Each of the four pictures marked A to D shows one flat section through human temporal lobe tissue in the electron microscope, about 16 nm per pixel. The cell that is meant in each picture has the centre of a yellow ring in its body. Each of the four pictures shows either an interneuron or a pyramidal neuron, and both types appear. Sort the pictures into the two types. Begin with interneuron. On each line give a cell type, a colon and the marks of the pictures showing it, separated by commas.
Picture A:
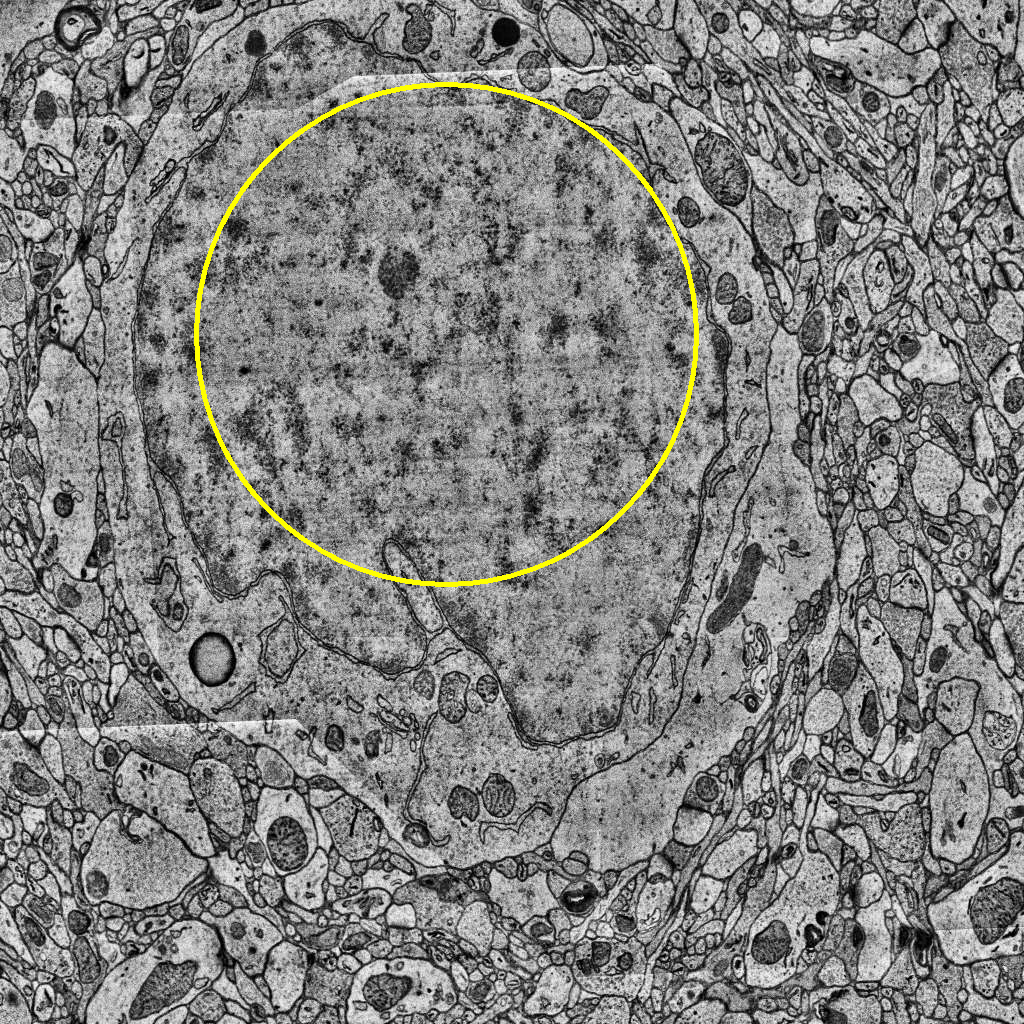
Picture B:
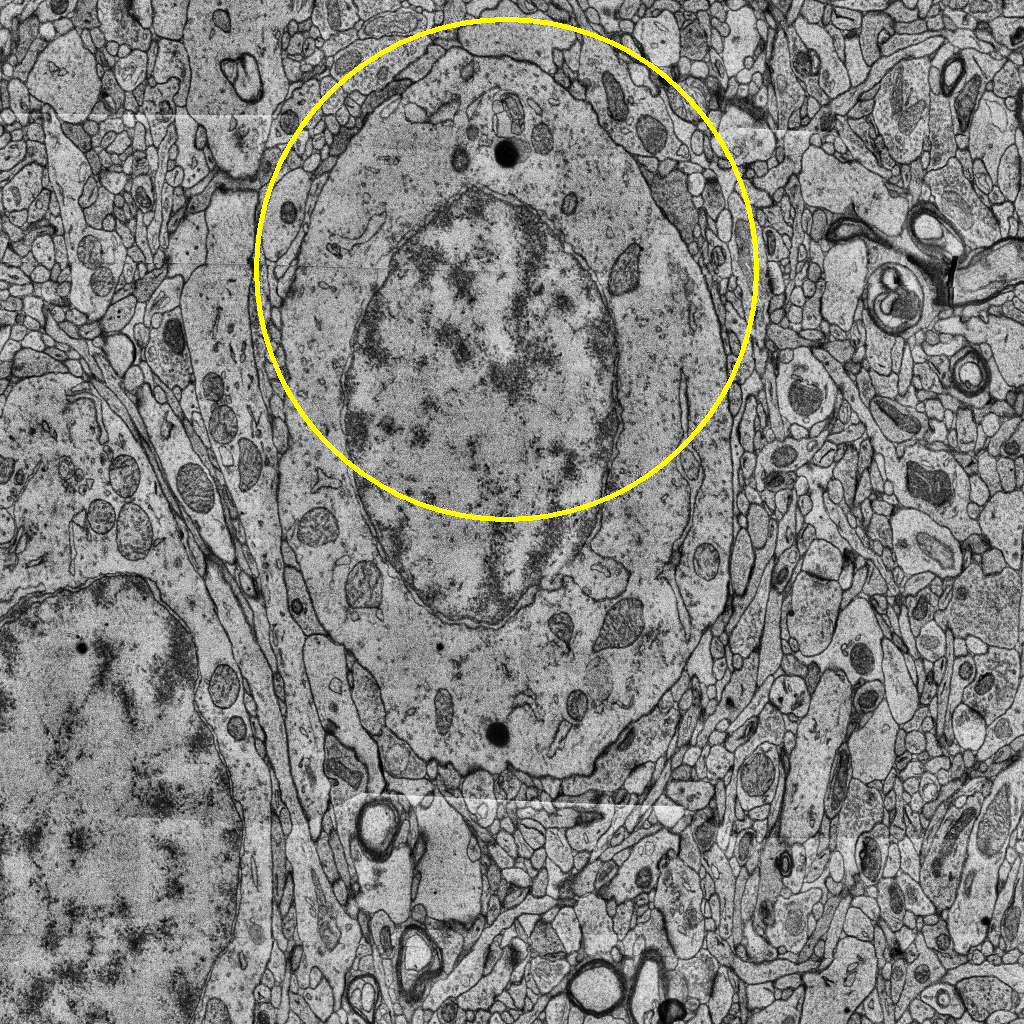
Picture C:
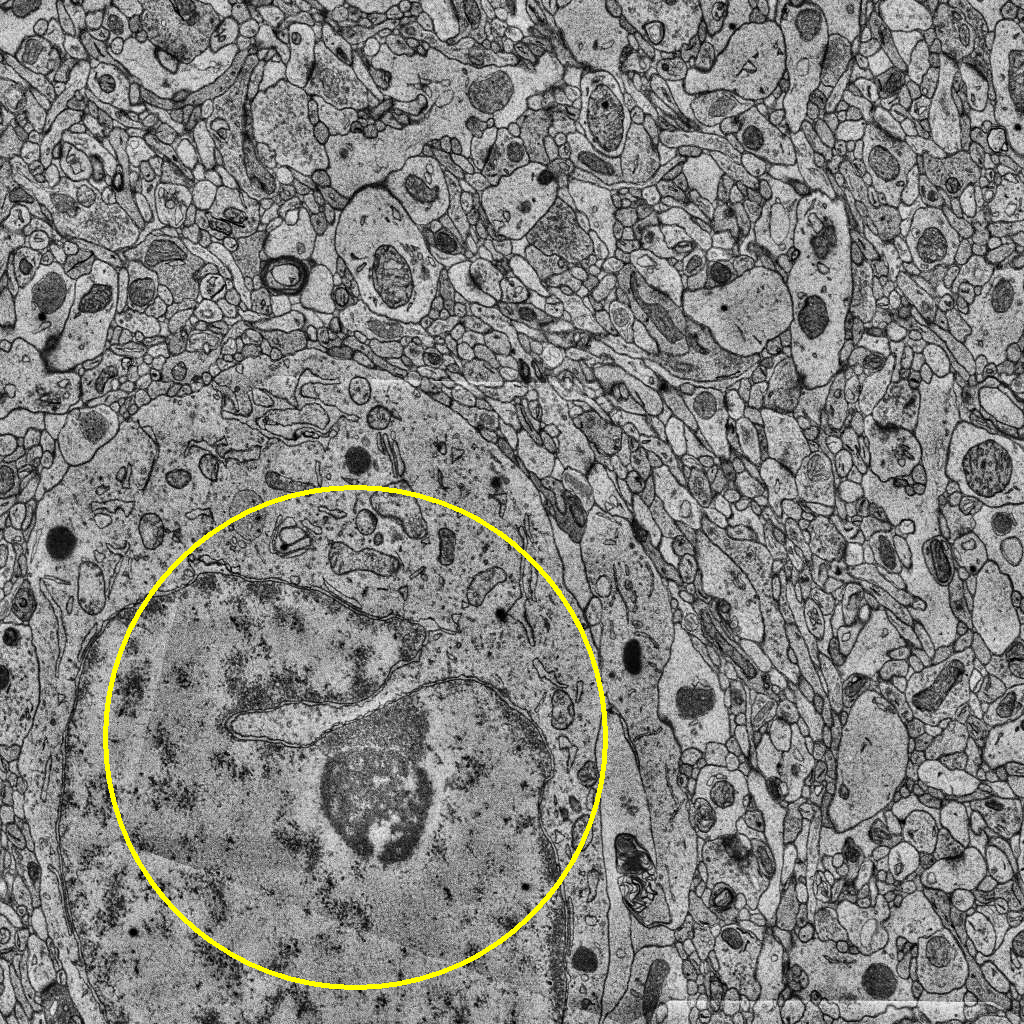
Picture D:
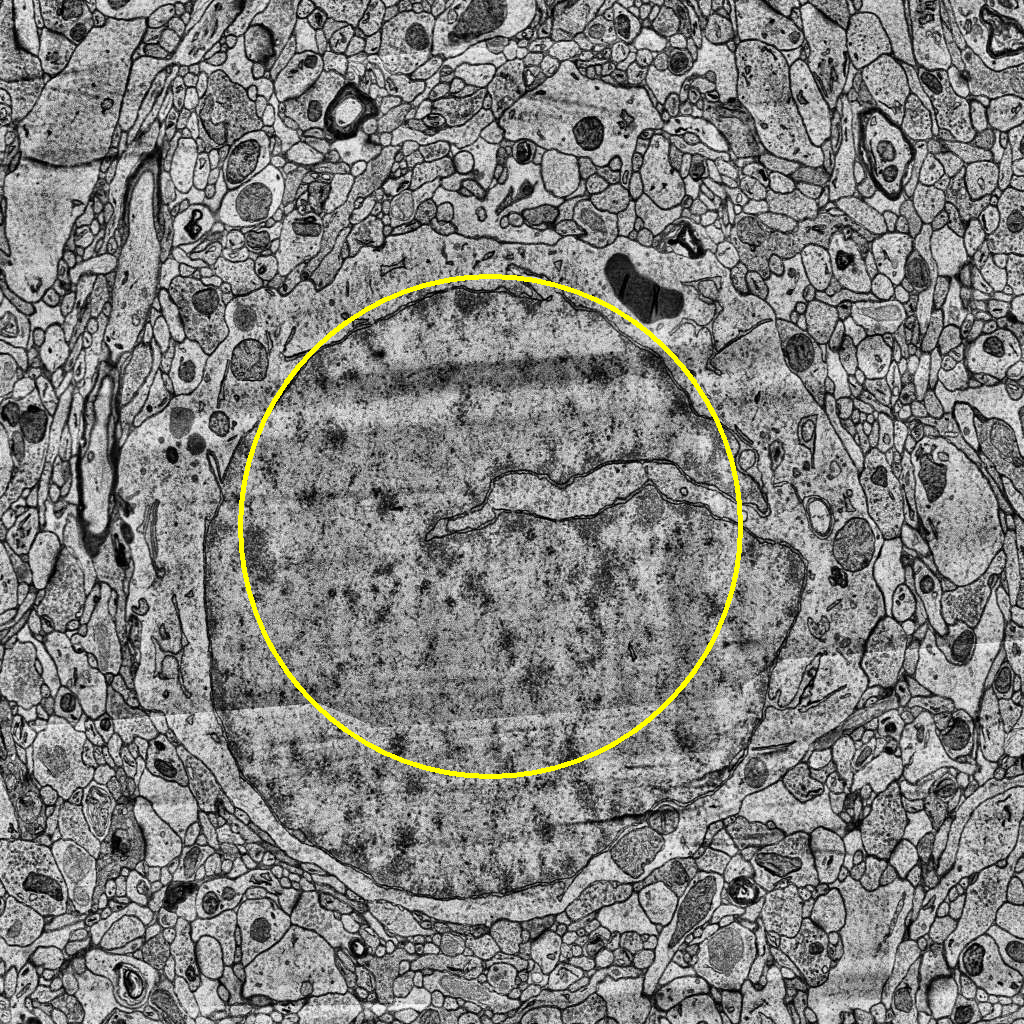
interneuron: A, C, D
pyramidal neuron: B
